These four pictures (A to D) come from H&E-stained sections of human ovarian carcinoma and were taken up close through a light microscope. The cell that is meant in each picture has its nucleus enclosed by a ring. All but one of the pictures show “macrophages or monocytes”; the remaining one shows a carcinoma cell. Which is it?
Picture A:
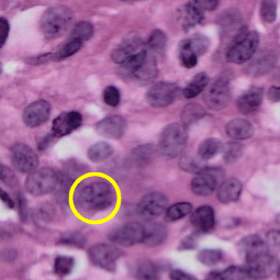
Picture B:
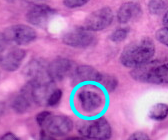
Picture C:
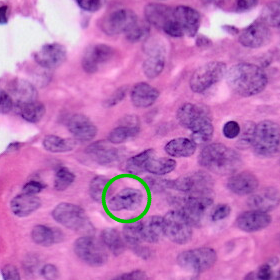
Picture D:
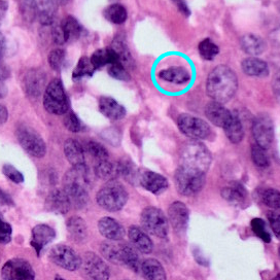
A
